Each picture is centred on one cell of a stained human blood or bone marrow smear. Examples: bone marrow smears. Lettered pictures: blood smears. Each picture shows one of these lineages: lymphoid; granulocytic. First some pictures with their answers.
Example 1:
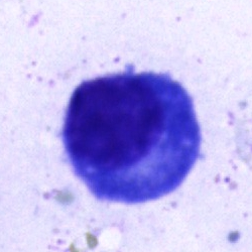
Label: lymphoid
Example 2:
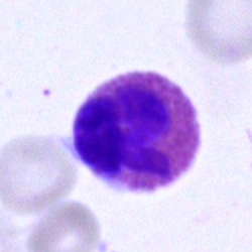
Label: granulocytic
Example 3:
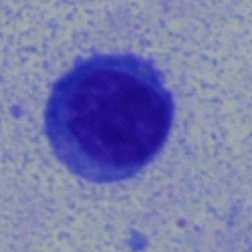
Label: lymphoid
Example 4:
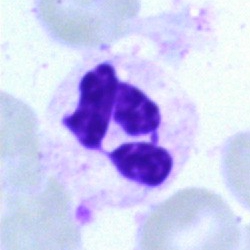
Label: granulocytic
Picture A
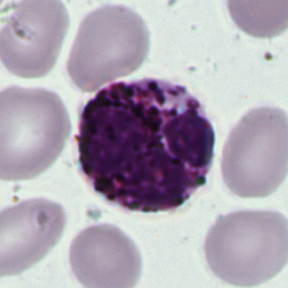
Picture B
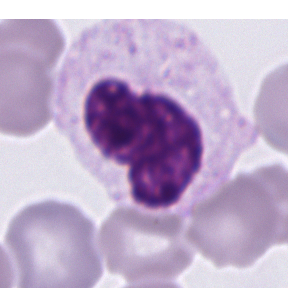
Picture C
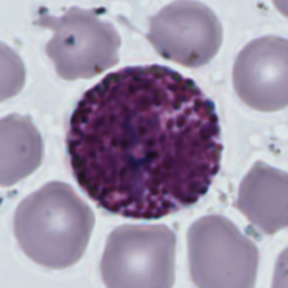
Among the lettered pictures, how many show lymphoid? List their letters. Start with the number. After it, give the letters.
0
